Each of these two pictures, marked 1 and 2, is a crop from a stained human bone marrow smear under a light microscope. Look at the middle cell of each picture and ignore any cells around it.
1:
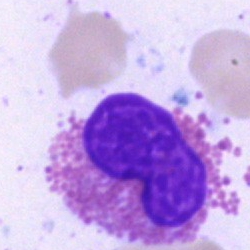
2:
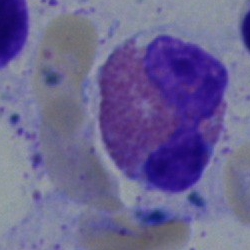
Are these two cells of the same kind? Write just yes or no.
yes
